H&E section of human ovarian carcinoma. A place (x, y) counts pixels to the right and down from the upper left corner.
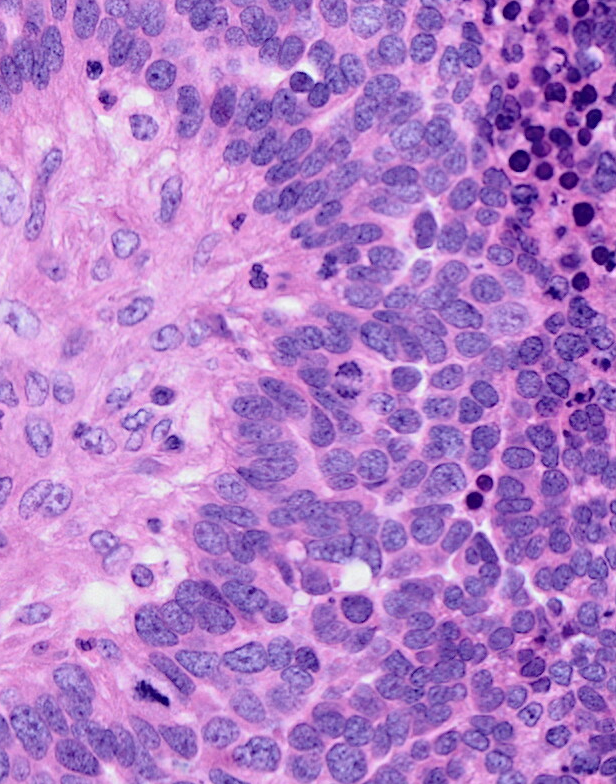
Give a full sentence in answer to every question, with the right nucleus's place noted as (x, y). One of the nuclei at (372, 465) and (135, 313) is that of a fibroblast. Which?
It is the nucleus at (135, 313) that belongs to a fibroblast.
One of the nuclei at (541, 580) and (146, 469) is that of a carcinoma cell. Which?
It is the nucleus at (541, 580), not the other one, that belongs to a carcinoma cell.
